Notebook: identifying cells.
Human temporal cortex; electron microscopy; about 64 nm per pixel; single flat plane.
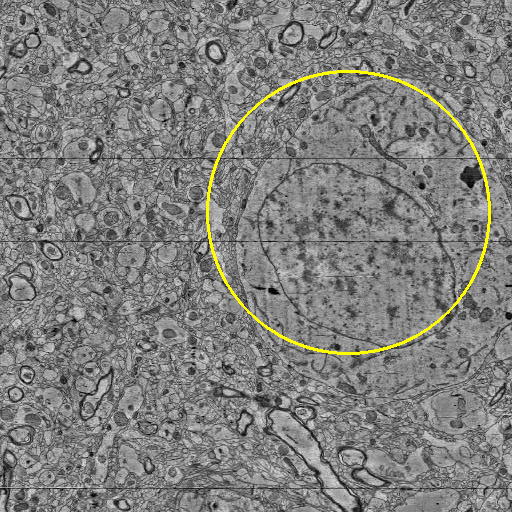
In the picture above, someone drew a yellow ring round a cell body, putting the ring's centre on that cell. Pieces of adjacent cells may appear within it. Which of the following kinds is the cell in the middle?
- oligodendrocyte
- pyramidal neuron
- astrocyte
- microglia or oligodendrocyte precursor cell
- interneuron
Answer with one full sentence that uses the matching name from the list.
In this picture, the yellow ring is centred on the body of a pyramidal neuron.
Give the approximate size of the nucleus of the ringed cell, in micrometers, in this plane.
In this plane, approximately 14 by 11 micrometers.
